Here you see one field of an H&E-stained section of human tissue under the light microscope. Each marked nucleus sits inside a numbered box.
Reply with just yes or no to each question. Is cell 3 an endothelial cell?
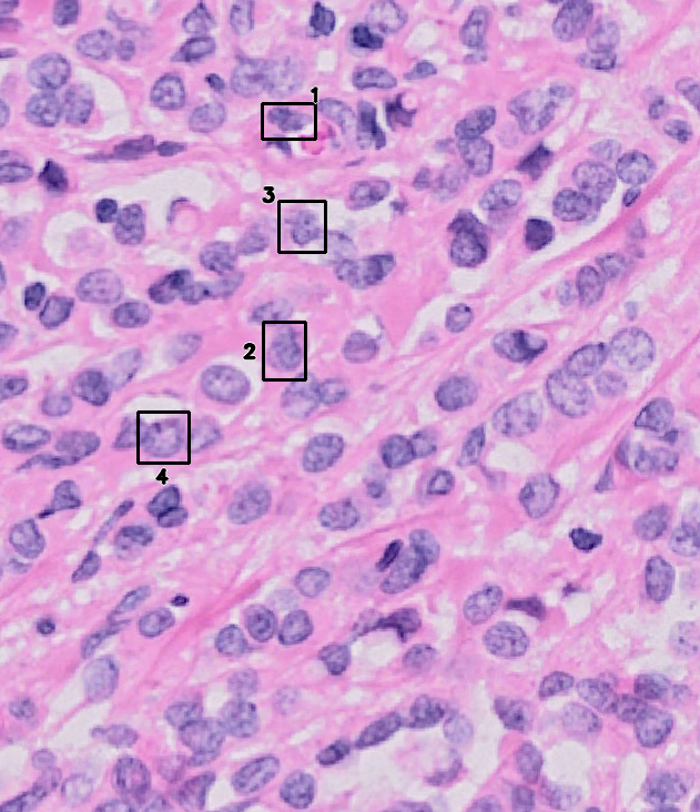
no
